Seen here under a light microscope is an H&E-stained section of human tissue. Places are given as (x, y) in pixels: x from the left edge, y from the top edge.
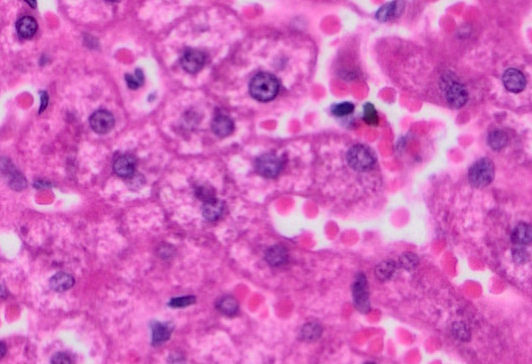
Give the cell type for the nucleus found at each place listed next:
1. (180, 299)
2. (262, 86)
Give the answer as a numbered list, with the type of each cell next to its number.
1. fibroblast or stellate cell
2. hepatocyte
